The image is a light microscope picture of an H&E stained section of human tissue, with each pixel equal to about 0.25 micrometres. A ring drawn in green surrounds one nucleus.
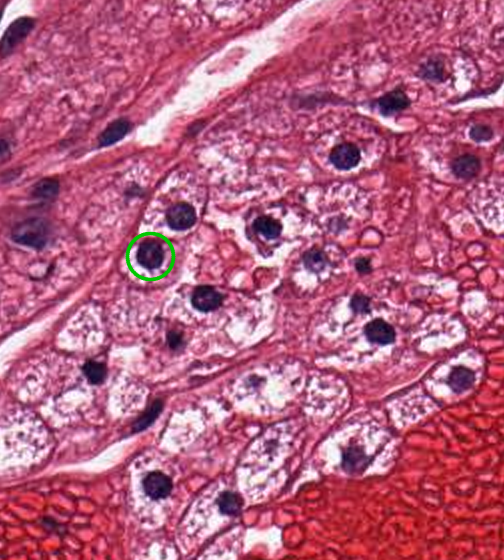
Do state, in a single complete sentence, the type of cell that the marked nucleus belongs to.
The nucleus marked in the section is that of an adrenal cortical cell.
